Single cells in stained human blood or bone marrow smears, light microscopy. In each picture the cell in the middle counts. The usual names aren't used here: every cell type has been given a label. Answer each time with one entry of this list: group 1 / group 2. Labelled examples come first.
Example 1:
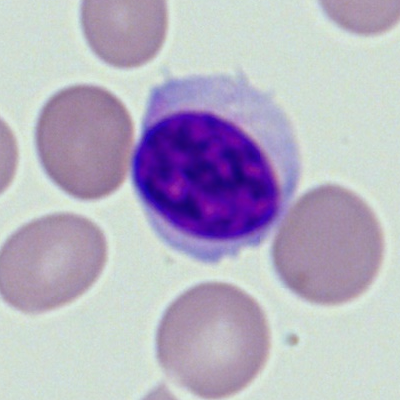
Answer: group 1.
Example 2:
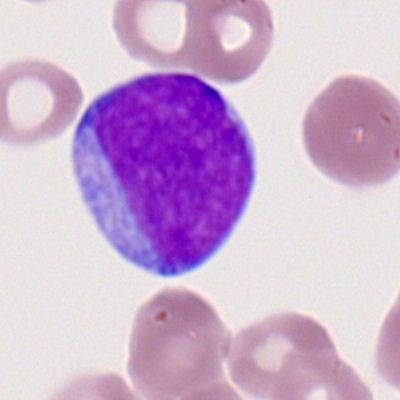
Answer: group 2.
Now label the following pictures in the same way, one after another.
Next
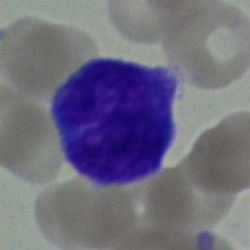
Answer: group 2.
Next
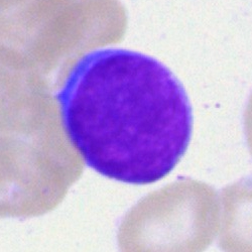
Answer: group 2.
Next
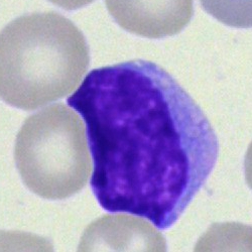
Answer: group 2.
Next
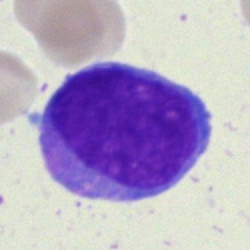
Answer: group 2.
